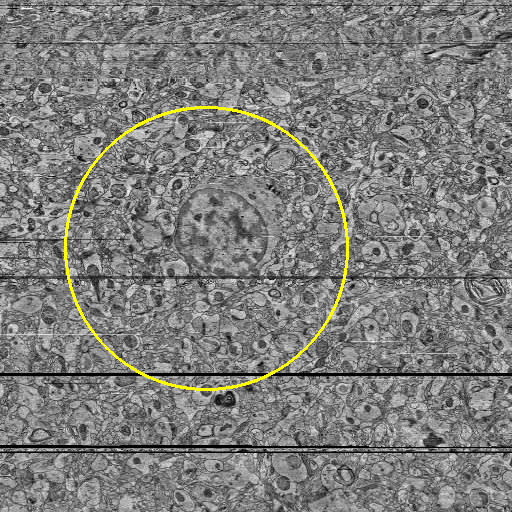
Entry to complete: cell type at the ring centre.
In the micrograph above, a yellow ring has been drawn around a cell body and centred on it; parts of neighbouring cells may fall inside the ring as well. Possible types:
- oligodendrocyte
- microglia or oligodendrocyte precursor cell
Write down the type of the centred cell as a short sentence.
The ring is centred on an oligodendrocyte.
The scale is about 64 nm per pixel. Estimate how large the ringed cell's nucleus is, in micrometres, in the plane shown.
Approximately 6 micrometres across, in this plane.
